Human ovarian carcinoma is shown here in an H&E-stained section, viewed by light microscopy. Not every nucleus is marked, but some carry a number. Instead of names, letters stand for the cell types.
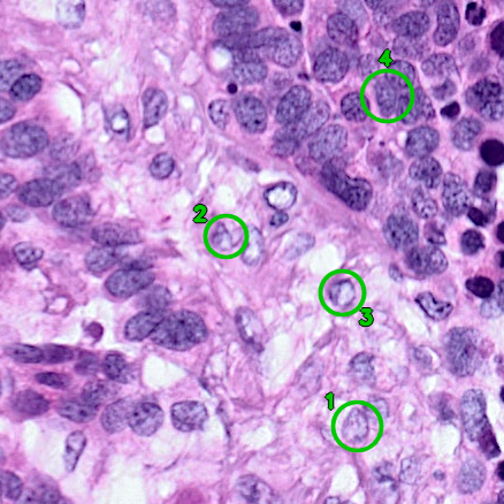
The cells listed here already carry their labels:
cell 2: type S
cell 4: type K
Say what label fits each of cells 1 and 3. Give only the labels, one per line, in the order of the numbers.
type S
type S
